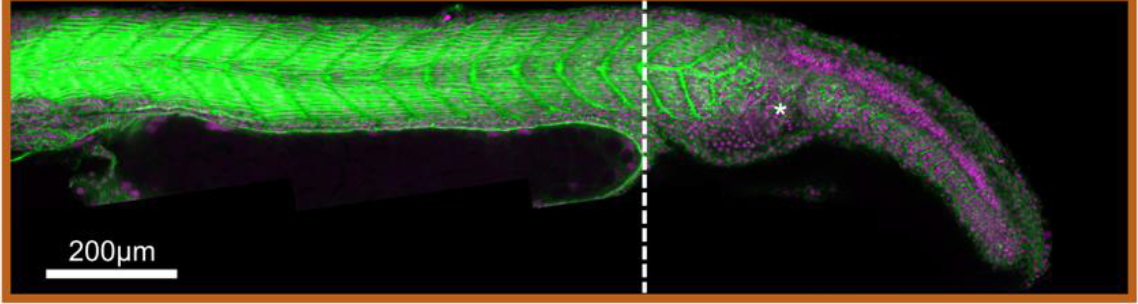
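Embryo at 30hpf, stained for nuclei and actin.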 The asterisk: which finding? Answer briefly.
Defect in somite formation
